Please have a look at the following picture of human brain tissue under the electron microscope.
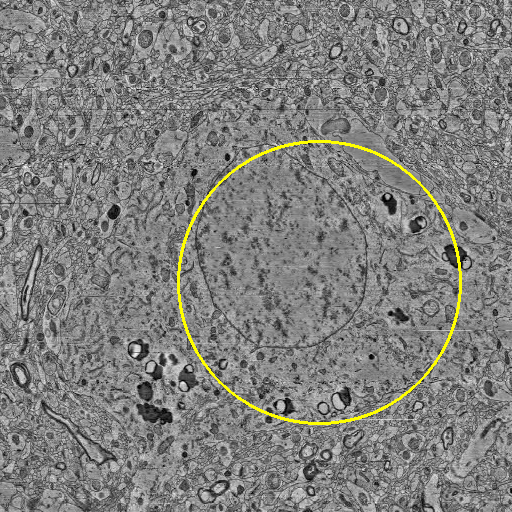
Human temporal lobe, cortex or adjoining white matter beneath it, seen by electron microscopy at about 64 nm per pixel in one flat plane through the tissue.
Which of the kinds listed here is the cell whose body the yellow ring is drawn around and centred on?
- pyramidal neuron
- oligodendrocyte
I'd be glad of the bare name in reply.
pyramidal neuron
